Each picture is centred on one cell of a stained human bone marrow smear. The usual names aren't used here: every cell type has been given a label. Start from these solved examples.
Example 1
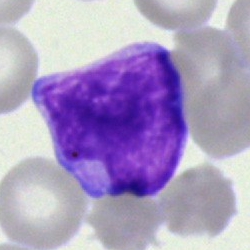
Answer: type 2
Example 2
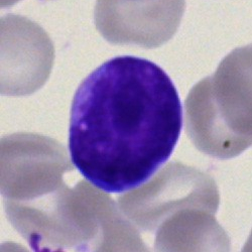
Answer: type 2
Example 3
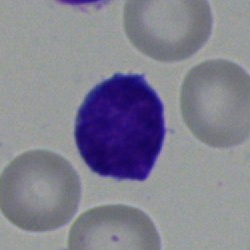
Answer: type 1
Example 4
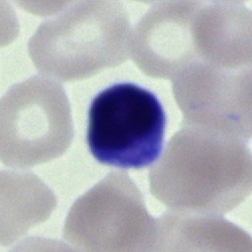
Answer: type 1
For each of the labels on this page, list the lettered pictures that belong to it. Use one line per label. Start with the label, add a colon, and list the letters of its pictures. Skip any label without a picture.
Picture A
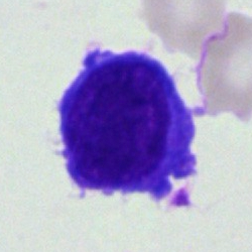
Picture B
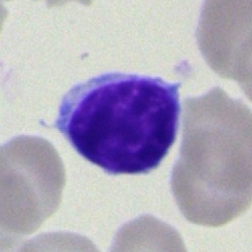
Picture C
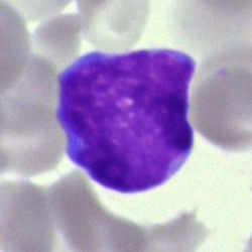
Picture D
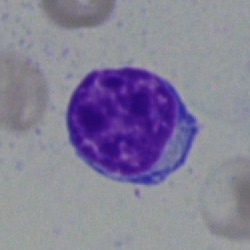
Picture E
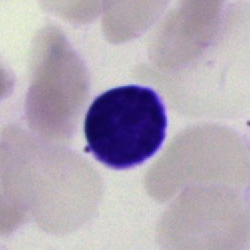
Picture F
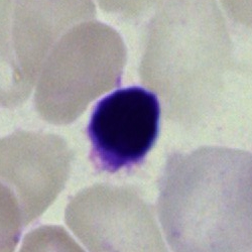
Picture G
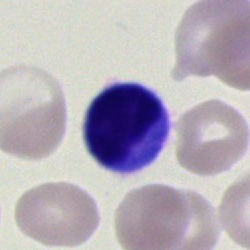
type 2: A, C
type 1: B, D, E, F, G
